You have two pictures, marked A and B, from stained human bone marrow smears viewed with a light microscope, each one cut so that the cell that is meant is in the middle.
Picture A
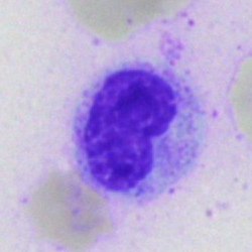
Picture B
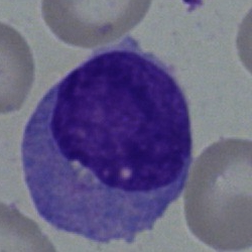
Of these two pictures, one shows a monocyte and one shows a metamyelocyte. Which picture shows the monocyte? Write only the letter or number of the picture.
B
